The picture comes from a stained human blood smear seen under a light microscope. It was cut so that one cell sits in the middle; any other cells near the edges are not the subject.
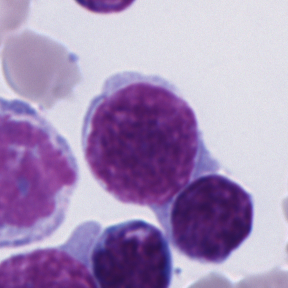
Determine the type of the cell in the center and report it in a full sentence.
As for the central cell, it is a myeloblast.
